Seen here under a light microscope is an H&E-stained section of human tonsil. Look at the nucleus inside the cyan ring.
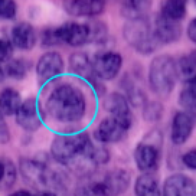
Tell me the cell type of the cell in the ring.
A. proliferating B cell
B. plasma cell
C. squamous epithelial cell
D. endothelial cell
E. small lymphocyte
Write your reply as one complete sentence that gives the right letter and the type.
Under option A, the cell in the ring is listed as a proliferating B cell, which is correct.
